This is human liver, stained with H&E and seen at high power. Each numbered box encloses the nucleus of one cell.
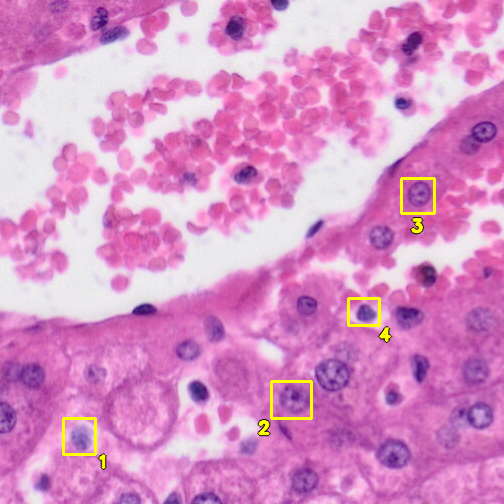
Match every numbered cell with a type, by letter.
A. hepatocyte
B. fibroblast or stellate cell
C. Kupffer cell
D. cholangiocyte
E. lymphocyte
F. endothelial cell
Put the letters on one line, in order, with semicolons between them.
F; A; A; E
